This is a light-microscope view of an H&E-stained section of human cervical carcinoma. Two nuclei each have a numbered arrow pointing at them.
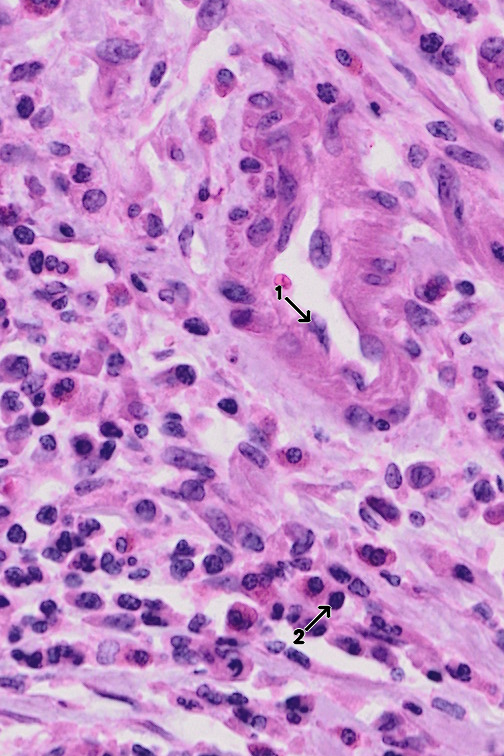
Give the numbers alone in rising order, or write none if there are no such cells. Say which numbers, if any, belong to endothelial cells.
1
